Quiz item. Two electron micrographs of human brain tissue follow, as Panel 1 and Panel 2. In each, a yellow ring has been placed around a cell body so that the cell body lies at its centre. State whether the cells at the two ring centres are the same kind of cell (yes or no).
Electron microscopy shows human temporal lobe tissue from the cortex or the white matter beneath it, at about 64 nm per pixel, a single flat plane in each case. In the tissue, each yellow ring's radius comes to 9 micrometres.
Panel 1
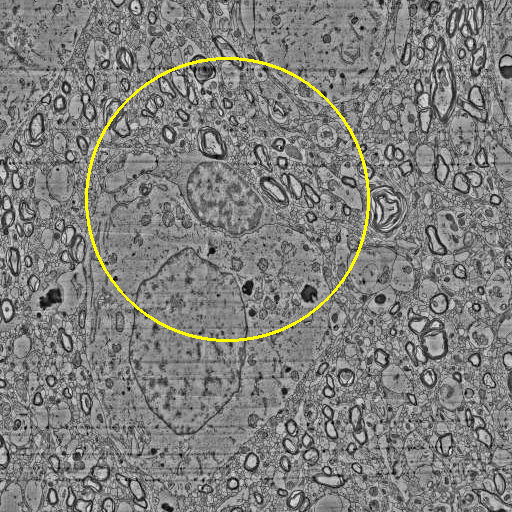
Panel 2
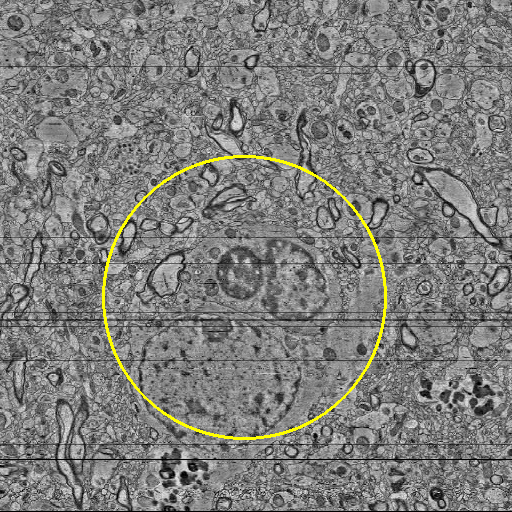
yes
